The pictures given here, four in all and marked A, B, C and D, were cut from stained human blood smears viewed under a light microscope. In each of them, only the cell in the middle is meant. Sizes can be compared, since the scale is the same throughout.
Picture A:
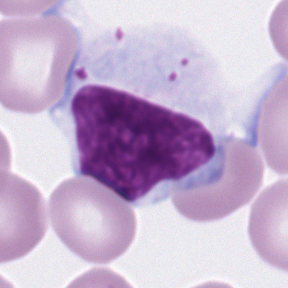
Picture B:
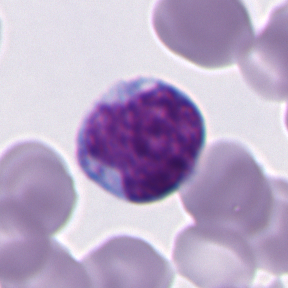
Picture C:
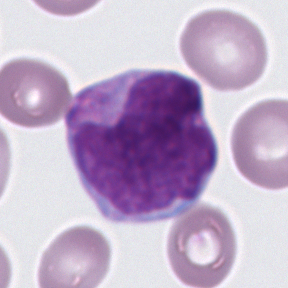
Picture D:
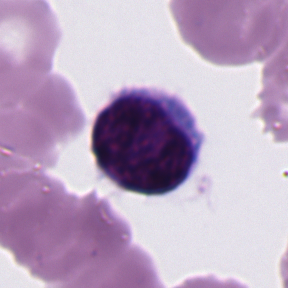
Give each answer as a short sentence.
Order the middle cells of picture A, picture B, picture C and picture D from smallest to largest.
From the smallest up, the order is D, B, C, A.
